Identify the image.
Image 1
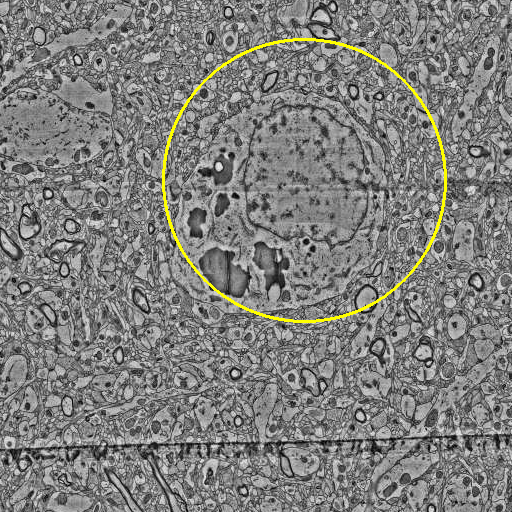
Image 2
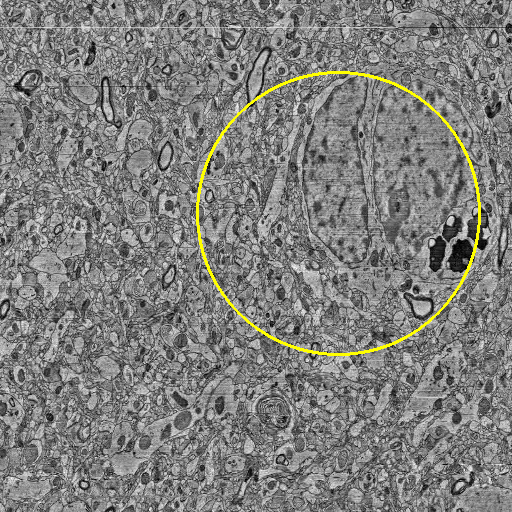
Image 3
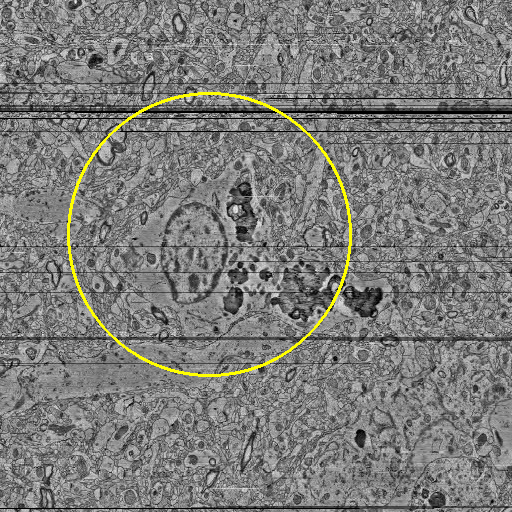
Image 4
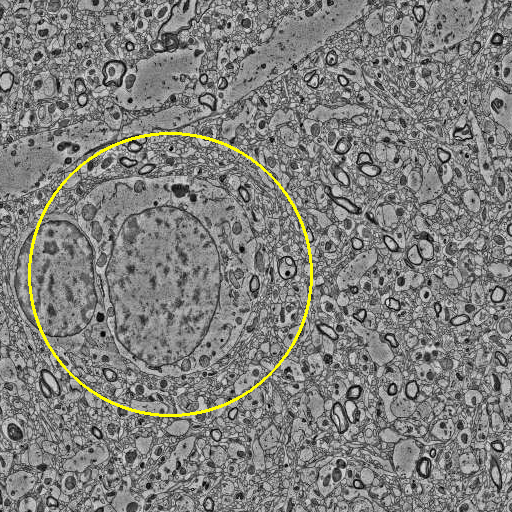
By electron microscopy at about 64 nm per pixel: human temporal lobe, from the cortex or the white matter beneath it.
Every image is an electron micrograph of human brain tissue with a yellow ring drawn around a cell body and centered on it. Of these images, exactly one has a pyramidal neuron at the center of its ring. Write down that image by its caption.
Image 4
